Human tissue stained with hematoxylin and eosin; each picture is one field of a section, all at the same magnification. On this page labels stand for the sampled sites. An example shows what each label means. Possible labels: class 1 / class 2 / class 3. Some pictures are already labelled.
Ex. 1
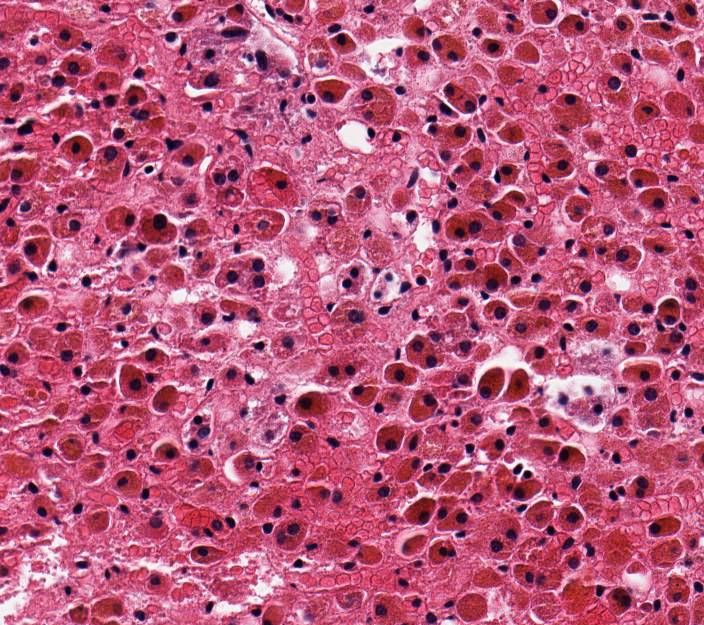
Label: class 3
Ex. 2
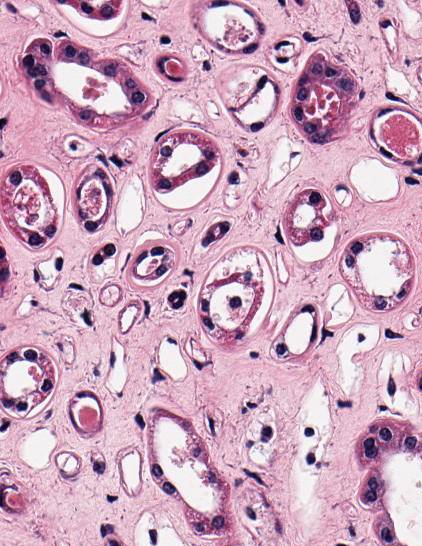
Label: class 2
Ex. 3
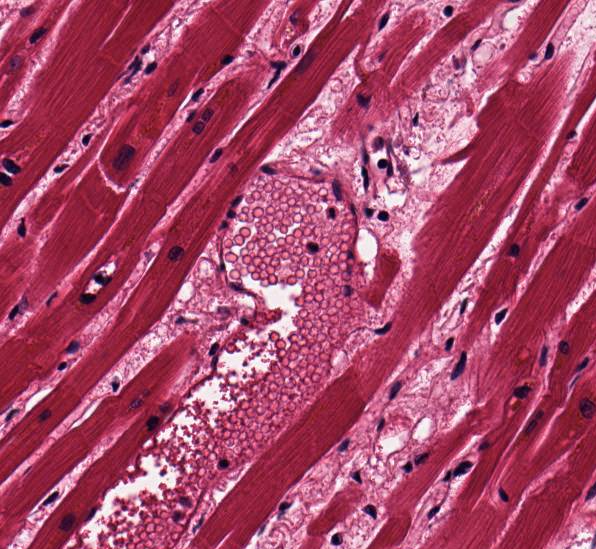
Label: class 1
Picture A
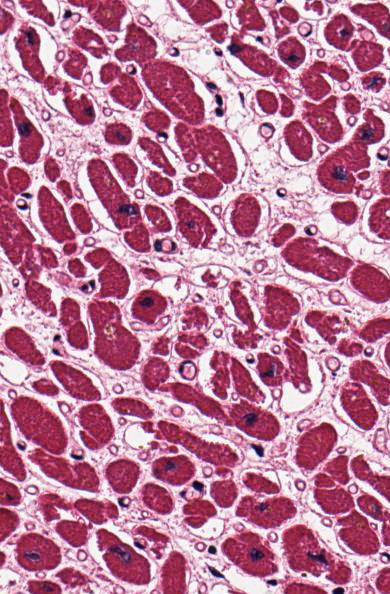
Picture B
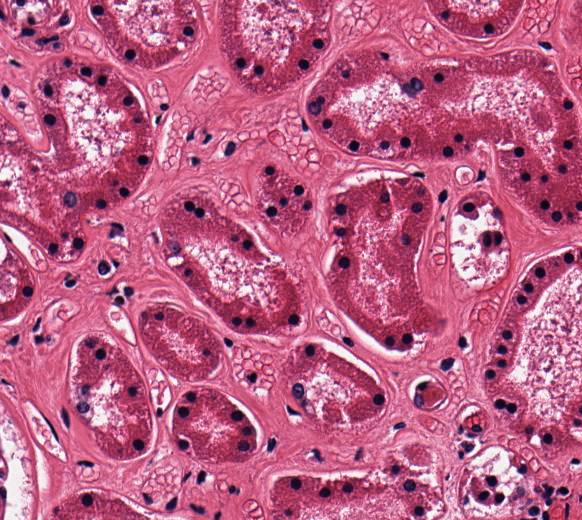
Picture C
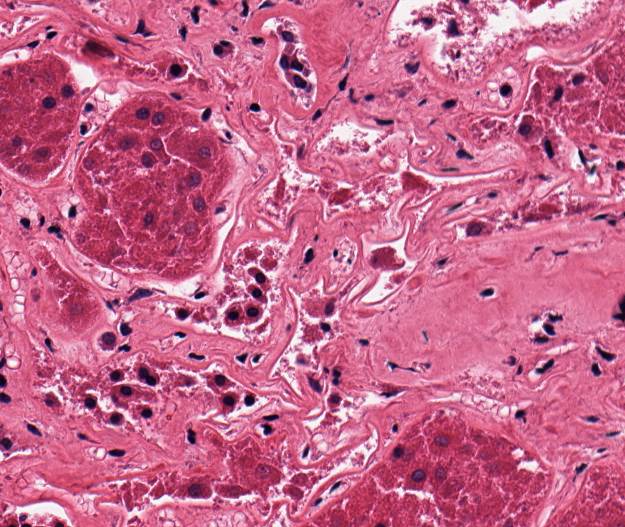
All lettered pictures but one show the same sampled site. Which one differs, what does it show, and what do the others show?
Different: A, class 1. Others: class 2.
